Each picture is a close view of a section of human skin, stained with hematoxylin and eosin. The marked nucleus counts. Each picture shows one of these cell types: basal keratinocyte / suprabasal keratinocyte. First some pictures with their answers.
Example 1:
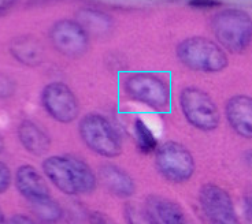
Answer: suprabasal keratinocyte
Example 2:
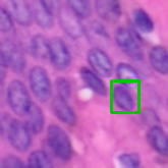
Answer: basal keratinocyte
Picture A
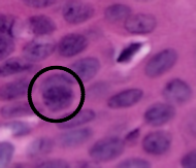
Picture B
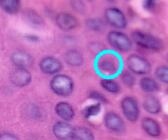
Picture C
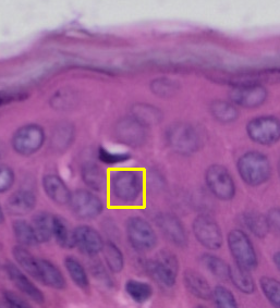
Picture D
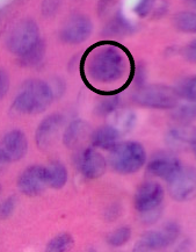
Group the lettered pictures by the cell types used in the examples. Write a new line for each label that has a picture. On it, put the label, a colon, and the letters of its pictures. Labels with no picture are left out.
basal keratinocyte: A, B, C, D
